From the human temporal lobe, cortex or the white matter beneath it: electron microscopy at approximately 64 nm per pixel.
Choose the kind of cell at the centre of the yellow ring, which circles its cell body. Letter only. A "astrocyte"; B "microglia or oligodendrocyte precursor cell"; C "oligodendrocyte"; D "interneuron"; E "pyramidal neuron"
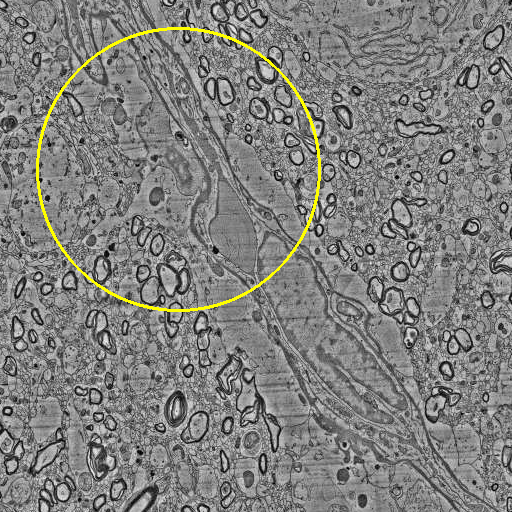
C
